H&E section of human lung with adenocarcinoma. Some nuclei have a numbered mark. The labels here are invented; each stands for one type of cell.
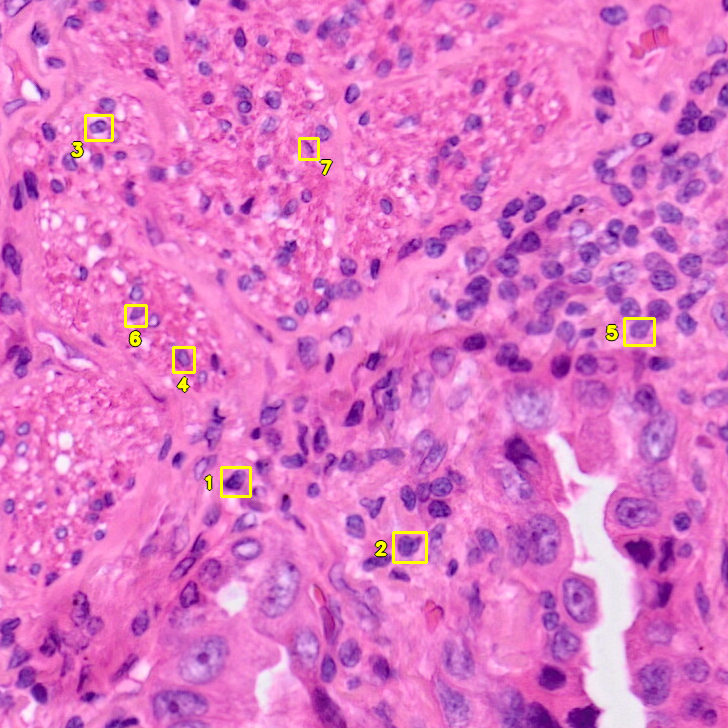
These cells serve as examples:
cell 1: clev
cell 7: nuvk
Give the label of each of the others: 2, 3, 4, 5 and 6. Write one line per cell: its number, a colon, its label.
2: clev
3: nuvk
4: nuvk
5: clev
6: nuvk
